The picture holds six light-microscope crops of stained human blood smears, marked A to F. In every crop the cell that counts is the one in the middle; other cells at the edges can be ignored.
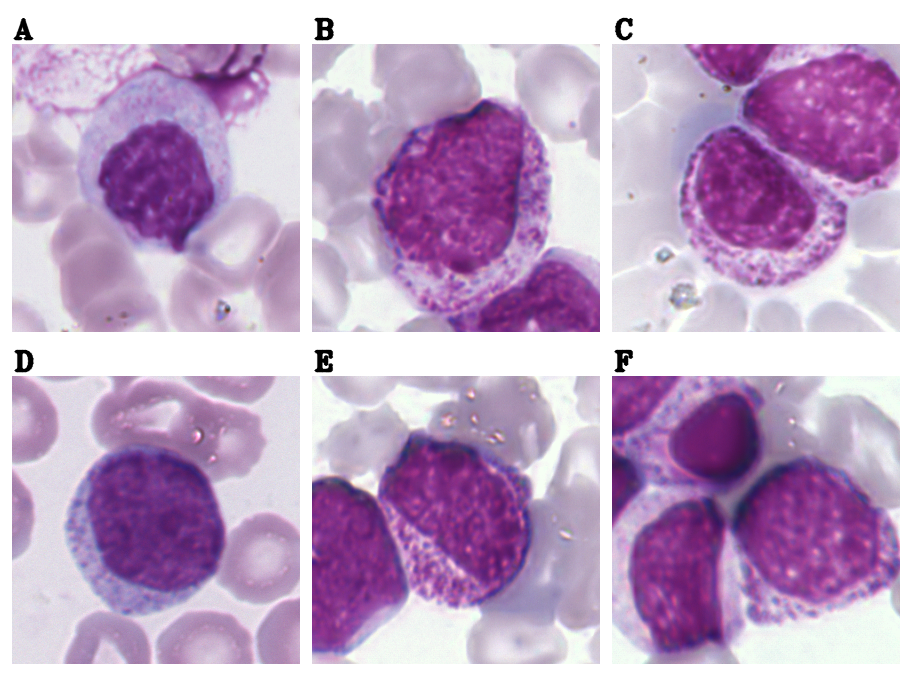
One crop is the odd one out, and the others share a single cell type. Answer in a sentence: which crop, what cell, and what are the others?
Crop D is a promyelocyte, and the other crops all show myelocytes.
